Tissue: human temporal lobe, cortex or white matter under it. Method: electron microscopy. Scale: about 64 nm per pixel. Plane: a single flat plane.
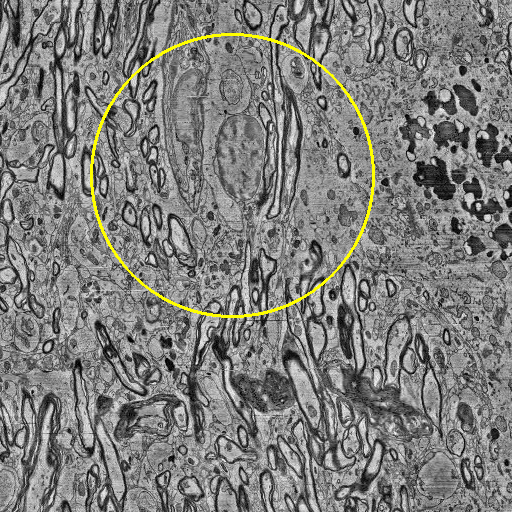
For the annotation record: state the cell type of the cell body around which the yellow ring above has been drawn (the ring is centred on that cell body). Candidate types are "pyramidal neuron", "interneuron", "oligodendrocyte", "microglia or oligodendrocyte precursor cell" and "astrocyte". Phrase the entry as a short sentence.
The ringed cell is a microglial cell or oligodendrocyte precursor cell.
